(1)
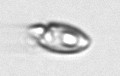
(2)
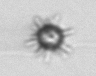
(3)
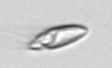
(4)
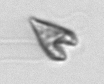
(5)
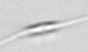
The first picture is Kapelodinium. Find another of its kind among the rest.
Picture 3.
